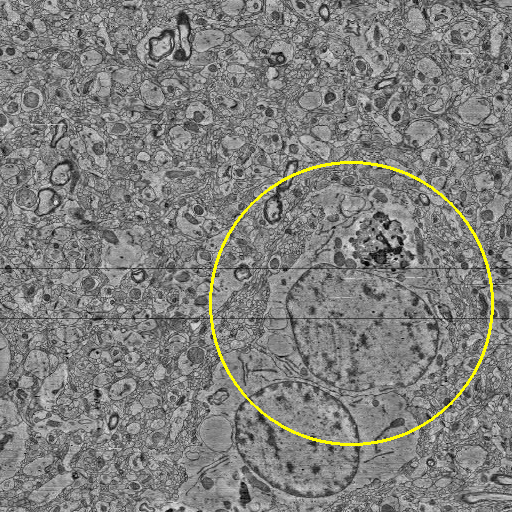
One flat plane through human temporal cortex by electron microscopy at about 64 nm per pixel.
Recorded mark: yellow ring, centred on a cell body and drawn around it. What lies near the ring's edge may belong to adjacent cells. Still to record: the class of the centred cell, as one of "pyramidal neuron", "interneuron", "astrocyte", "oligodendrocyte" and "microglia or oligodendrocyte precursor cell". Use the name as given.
astrocyte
